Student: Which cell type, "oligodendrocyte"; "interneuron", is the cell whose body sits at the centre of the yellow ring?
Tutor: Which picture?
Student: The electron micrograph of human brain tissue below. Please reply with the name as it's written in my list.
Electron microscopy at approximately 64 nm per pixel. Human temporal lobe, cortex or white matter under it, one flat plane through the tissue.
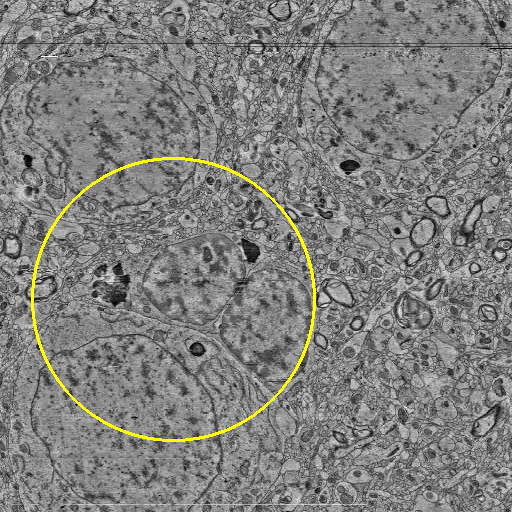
oligodendrocyte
